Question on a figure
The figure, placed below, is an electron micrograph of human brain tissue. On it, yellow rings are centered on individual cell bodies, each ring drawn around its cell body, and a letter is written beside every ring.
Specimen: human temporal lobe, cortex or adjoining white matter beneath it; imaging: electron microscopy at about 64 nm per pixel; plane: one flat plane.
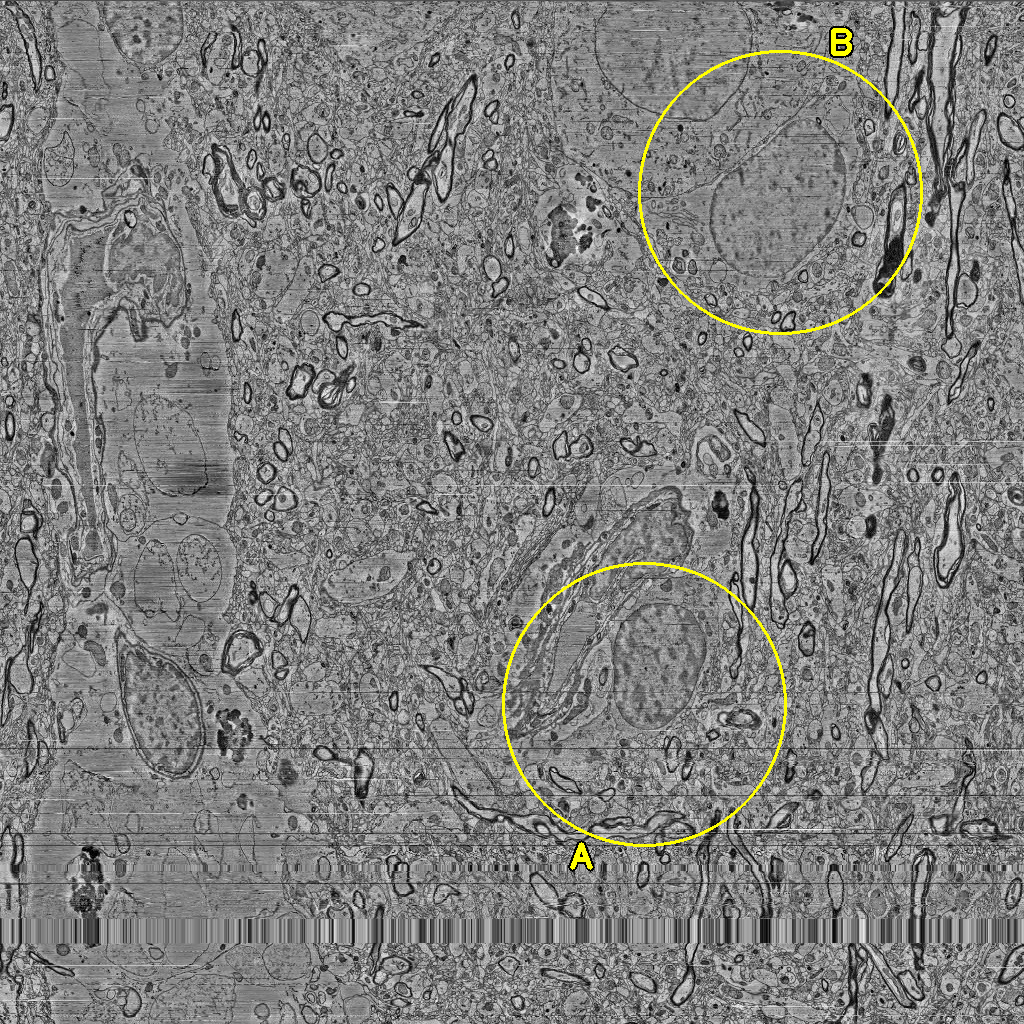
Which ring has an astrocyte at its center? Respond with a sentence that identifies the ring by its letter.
The ring marked B has it at its center.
